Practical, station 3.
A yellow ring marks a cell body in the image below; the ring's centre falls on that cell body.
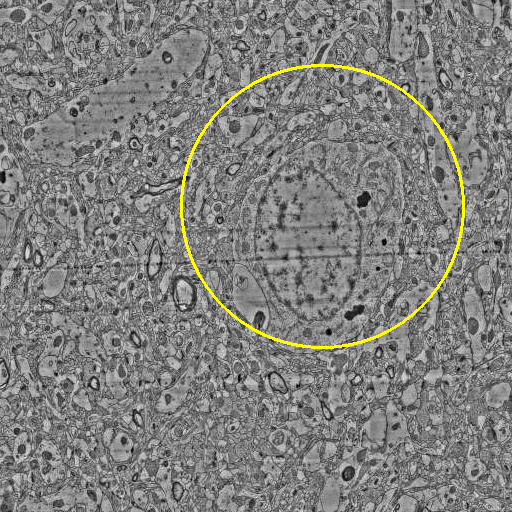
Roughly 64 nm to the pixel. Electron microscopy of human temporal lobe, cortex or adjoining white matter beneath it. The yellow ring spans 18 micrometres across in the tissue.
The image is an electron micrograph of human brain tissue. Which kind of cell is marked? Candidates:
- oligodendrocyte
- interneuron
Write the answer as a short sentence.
The marked cell body is that of an interneuron.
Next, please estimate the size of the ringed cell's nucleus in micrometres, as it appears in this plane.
In this plane, approximately 10 by 7 micrometers.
